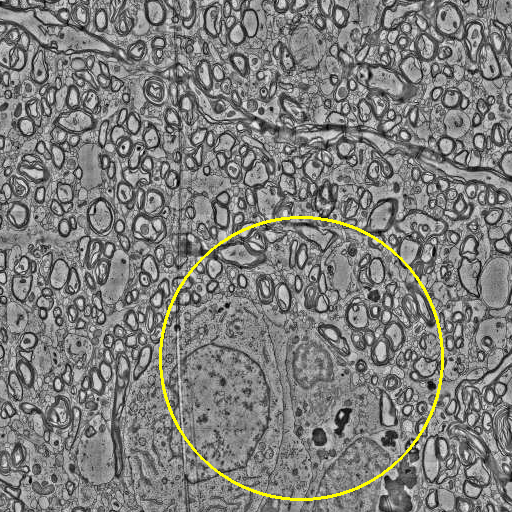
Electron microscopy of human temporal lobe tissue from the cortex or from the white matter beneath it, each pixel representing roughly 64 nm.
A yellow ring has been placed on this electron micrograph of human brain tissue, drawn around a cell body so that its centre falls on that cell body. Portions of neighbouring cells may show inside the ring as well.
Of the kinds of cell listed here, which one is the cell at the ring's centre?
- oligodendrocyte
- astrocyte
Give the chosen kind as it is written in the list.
oligodendrocyte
